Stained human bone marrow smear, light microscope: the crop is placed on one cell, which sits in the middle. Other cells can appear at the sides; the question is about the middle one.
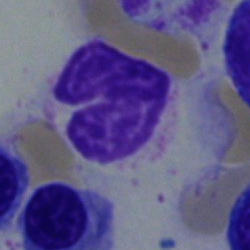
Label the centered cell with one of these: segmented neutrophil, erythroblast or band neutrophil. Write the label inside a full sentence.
What the crop centres on is a band neutrophil.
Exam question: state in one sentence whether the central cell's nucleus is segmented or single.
Key feature: a single compact nucleus, round, oval or kidney-shaped.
